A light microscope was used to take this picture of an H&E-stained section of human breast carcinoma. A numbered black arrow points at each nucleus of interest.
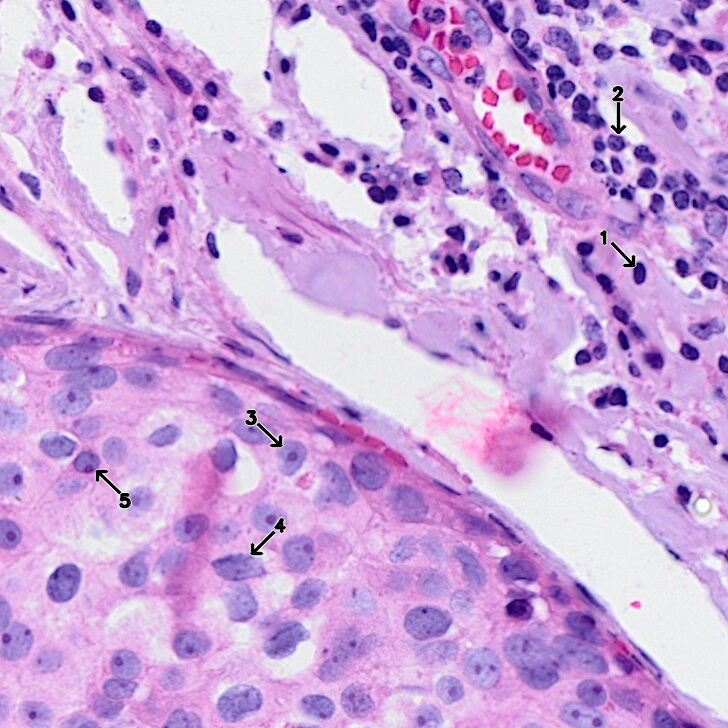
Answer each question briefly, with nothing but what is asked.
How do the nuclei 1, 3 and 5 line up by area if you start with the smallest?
1, 5, 3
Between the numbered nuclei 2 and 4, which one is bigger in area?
4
